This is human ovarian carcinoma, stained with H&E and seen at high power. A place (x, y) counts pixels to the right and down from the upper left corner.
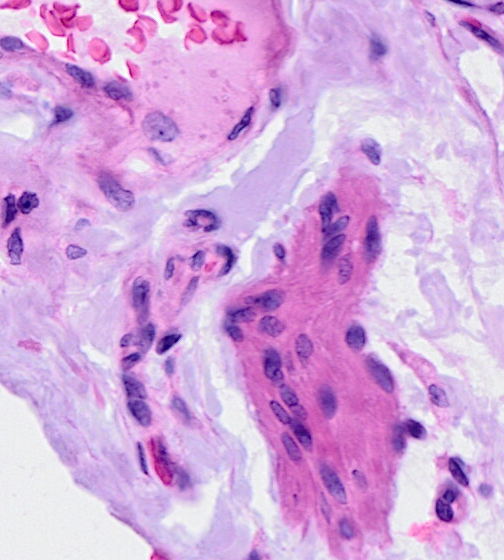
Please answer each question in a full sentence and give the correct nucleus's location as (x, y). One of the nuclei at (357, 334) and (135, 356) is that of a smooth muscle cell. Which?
The nucleus at (357, 334) belongs to a smooth muscle cell, which distinguishes it from the other nucleus.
